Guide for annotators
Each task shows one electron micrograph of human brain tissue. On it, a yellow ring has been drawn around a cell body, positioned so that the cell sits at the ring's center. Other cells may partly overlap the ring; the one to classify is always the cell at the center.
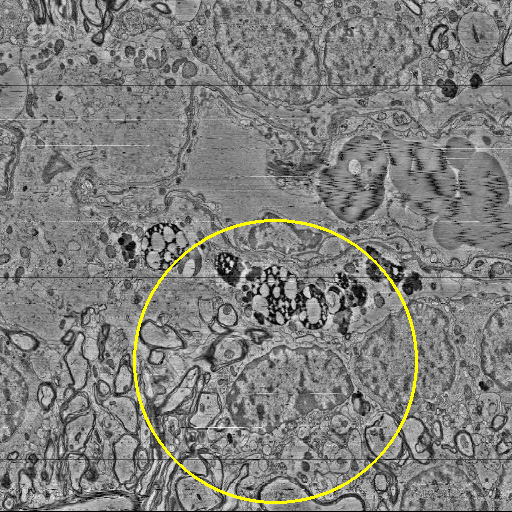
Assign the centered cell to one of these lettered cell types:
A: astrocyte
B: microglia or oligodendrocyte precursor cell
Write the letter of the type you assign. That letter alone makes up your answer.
B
